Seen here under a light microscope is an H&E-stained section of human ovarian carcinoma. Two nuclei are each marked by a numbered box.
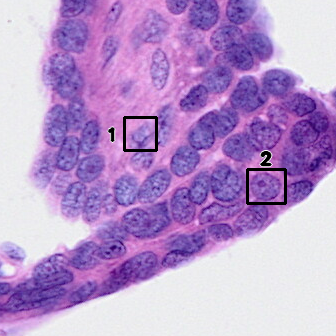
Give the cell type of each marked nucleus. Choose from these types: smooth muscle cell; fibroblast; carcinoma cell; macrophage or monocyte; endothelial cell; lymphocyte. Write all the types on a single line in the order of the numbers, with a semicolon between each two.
fibroblast; carcinoma cell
